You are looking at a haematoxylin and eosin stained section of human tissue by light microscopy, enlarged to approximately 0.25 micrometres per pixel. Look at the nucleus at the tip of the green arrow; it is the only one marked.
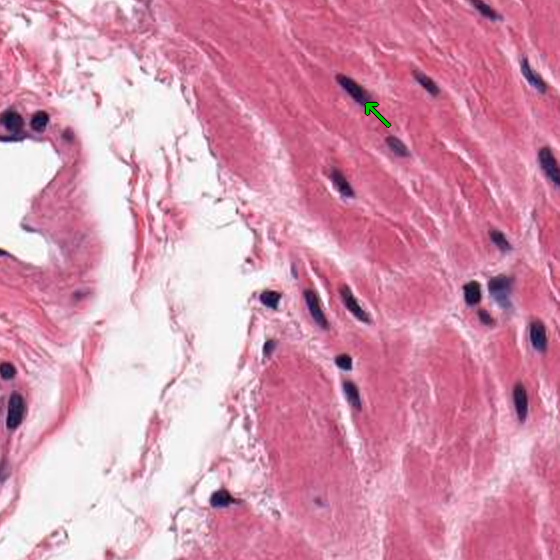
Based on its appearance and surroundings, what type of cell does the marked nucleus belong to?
smooth muscle cell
